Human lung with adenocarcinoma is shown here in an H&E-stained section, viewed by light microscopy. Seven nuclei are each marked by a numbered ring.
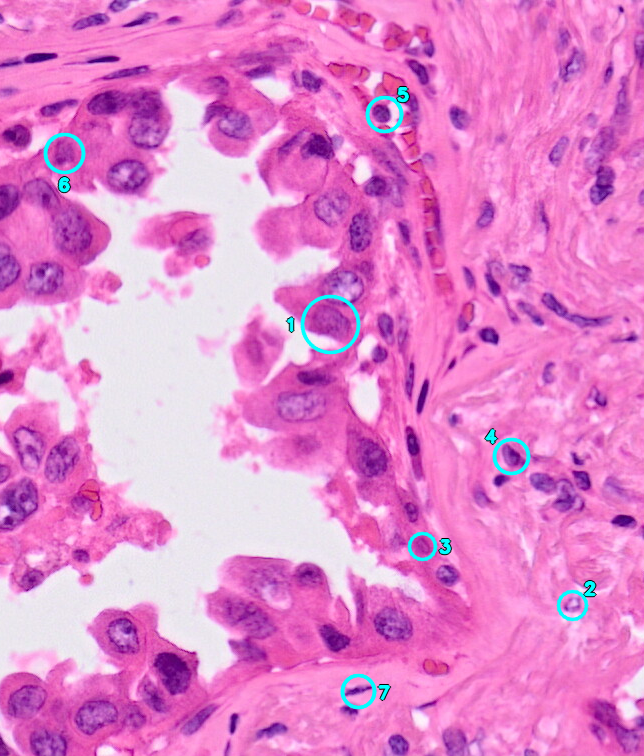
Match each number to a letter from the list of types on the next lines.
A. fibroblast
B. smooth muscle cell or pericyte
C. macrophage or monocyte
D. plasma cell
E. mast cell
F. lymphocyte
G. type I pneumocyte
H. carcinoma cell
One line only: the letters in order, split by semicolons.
H; A; C; D; F; H; A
